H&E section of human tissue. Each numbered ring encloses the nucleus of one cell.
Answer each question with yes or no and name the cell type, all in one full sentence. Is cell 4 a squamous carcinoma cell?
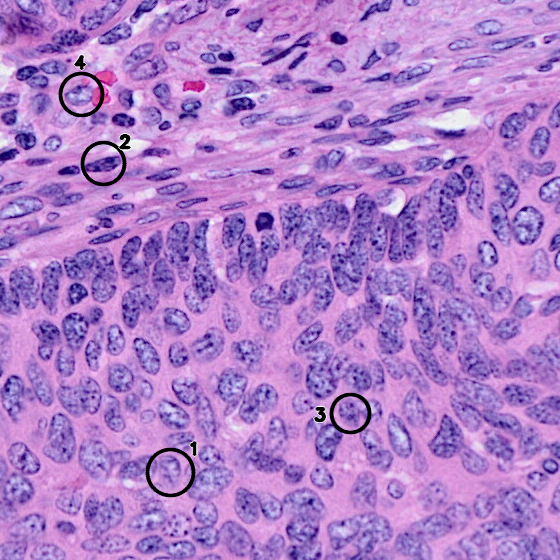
No, cell 4 should be classed as an endothelial cell, not as a squamous carcinoma cell.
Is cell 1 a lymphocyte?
No, a lymphocyte is not what cell 1 is; it is a squamous carcinoma cell.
